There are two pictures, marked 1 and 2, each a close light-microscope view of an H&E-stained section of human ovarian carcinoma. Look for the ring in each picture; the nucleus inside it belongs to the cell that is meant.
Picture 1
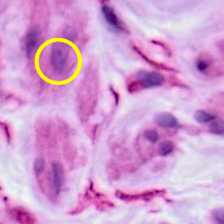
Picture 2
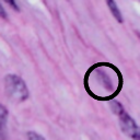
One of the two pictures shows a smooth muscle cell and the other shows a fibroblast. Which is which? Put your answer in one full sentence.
The cell in picture 1 is a smooth muscle cell, and the one in picture 2 is a fibroblast.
